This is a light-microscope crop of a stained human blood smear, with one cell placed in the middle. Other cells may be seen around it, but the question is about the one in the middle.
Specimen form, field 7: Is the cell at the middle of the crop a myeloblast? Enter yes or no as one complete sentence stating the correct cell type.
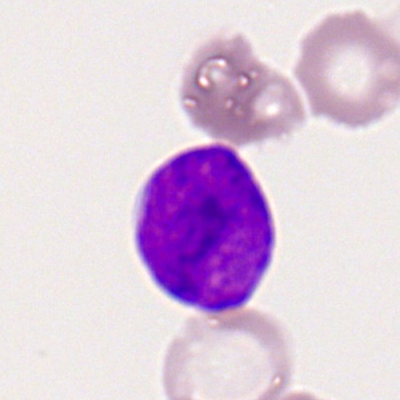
Yes, the central cell here is a myeloblast.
